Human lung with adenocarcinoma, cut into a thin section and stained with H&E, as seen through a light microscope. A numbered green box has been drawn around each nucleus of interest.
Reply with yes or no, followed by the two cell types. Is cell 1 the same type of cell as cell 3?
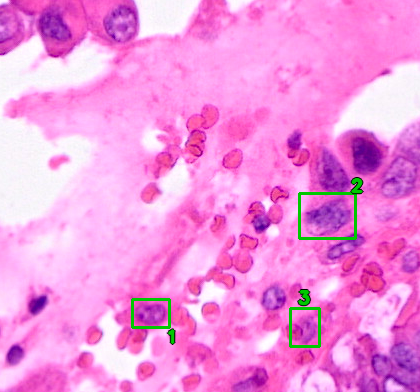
Yes, that is correct, cells 1 and 3 are both macrophages or monocytes.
